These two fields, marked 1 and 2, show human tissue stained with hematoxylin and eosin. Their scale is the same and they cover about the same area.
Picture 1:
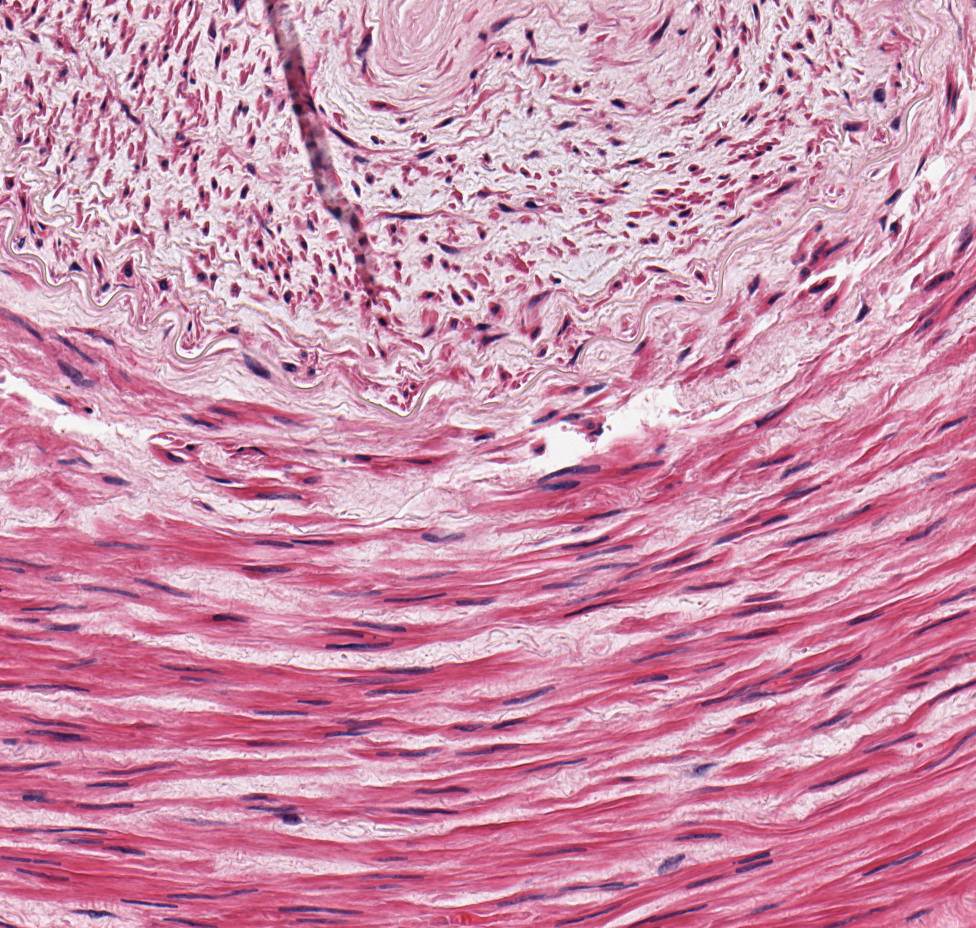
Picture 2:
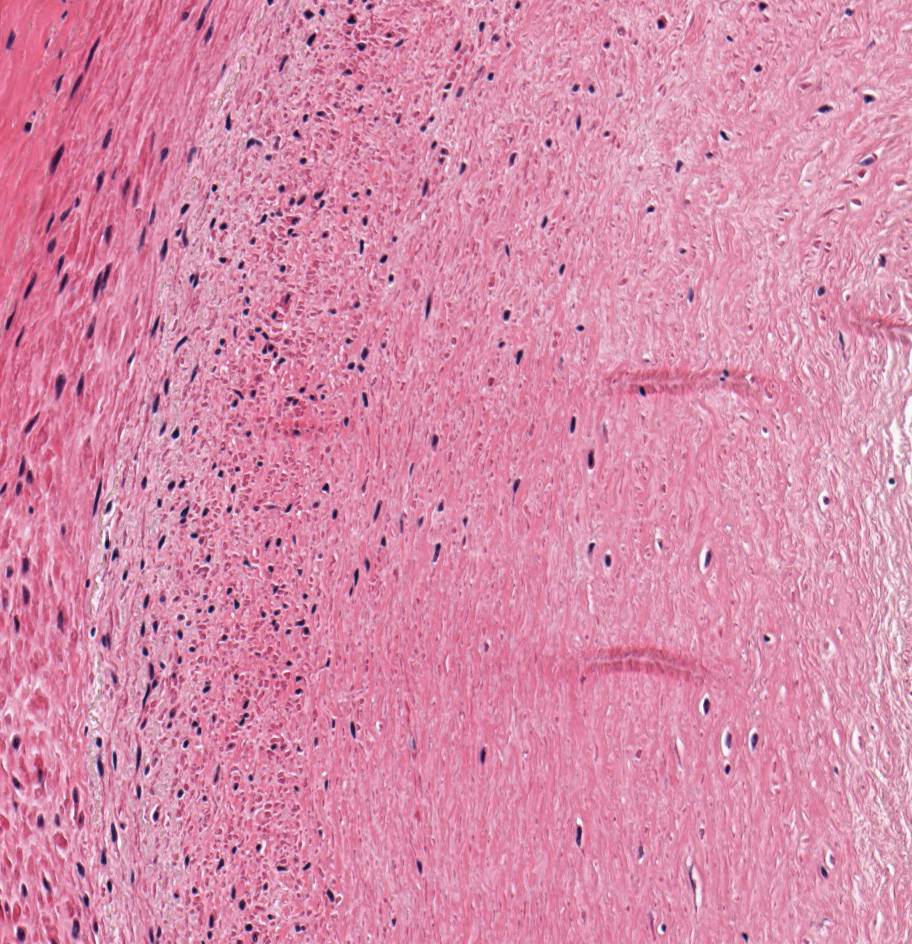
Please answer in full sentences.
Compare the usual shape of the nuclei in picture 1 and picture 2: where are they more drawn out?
On the whole the nuclei of picture 1 are more drawn out than those of picture 2.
